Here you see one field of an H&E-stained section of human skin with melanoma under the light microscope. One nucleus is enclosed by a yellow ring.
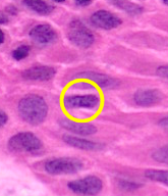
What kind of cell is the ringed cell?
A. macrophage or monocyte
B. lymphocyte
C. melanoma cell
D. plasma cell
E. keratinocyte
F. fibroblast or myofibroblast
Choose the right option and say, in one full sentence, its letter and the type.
Here the ringed cell is a keratinocyte; pick option E.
